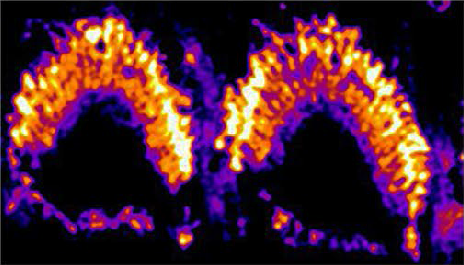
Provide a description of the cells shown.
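Two outer hair cells are seen from above, side by side, each crowned by a V-shaped arc of bright yellow-orange to white fluorescence. The arcs are built of many fine, closely packed parallel strands, like rows of stereocilia, fanning around a dark centre. Fainter purple fluorescence traces the lower rim of each cell apex.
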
